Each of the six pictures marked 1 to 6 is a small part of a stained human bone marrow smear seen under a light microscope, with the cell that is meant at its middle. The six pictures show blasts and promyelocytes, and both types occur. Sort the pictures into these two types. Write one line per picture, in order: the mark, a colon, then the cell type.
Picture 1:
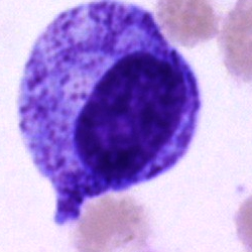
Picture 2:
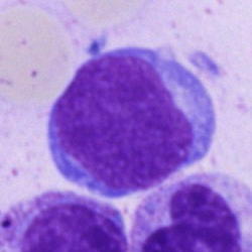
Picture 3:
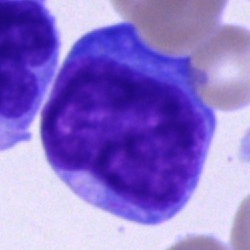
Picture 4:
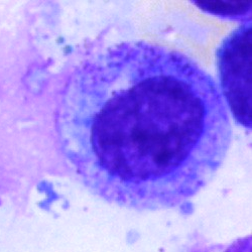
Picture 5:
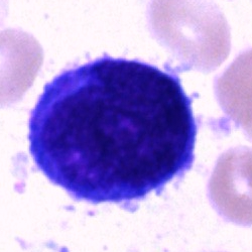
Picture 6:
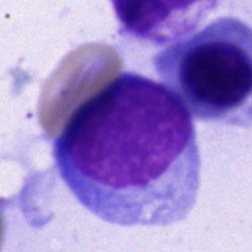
1: promyelocyte
2: blast
3: blast
4: promyelocyte
5: blast
6: blast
